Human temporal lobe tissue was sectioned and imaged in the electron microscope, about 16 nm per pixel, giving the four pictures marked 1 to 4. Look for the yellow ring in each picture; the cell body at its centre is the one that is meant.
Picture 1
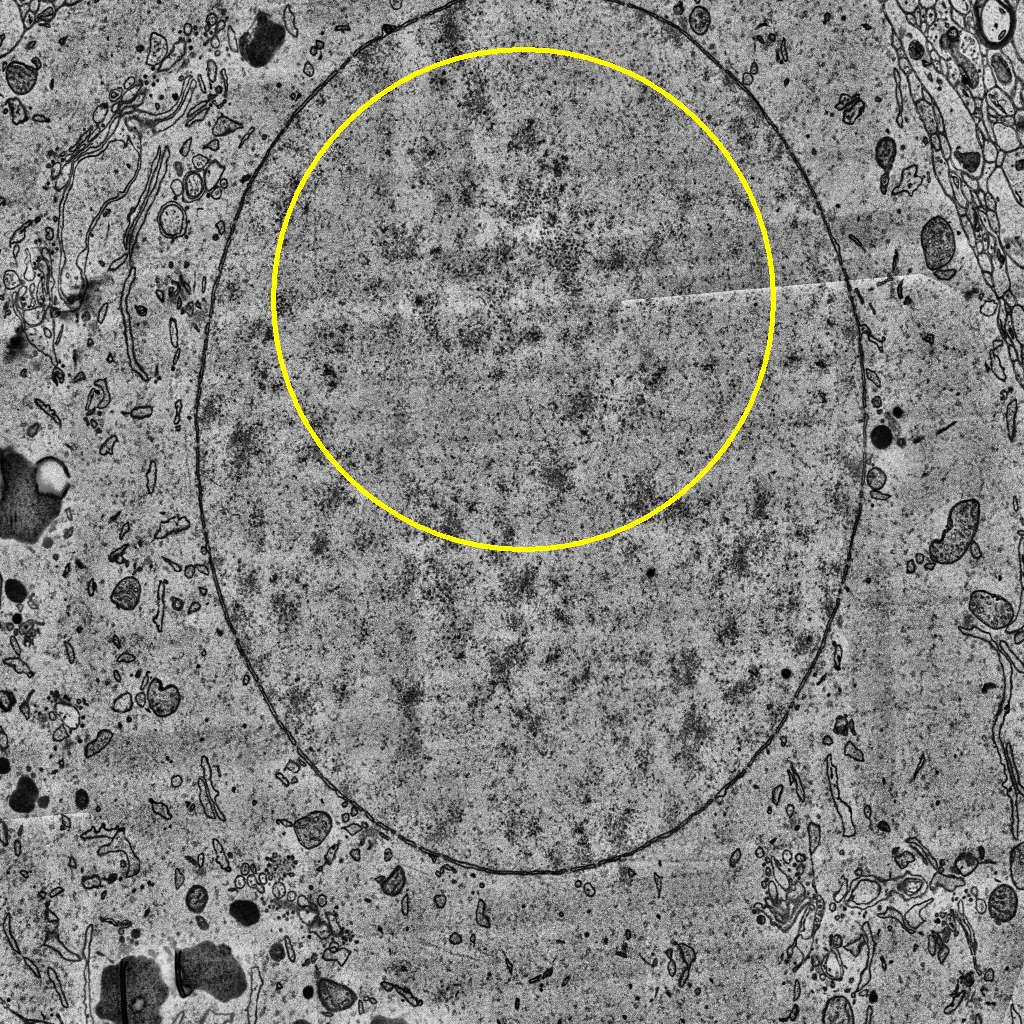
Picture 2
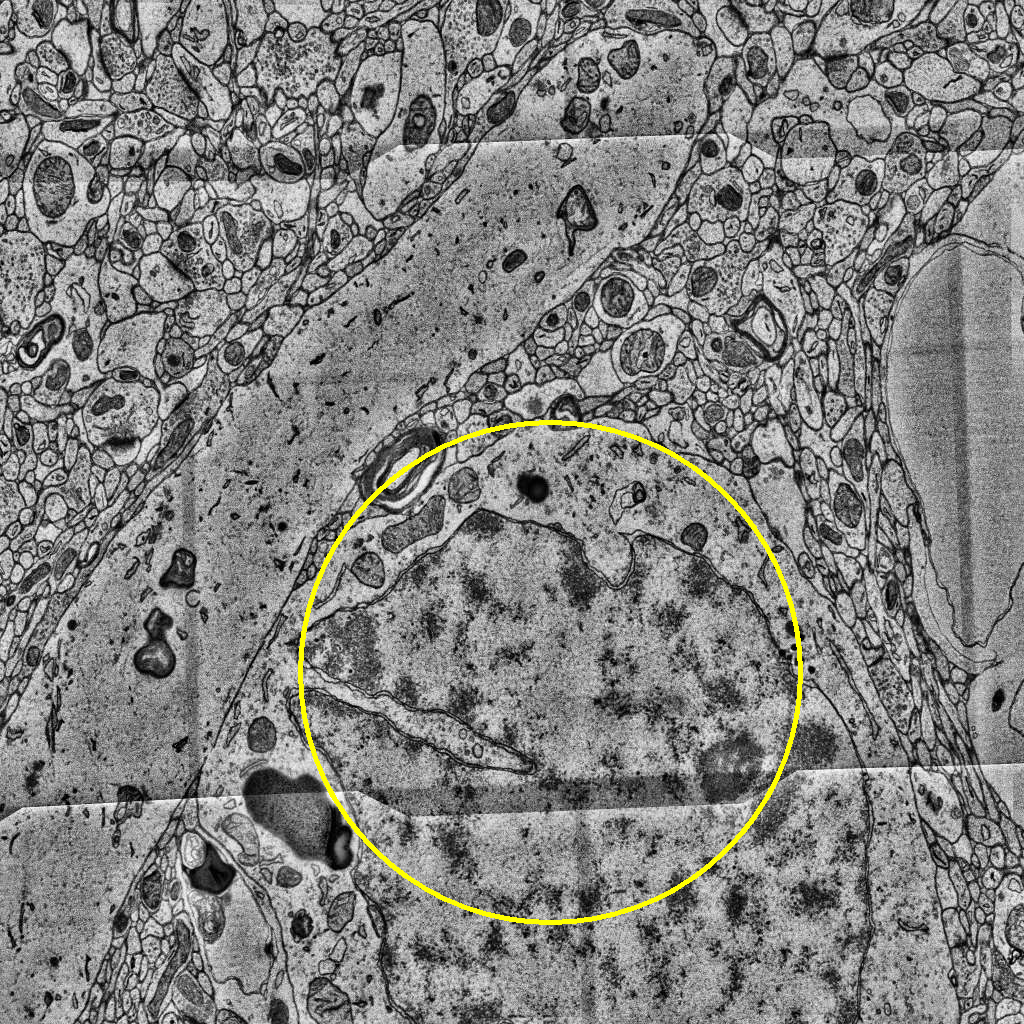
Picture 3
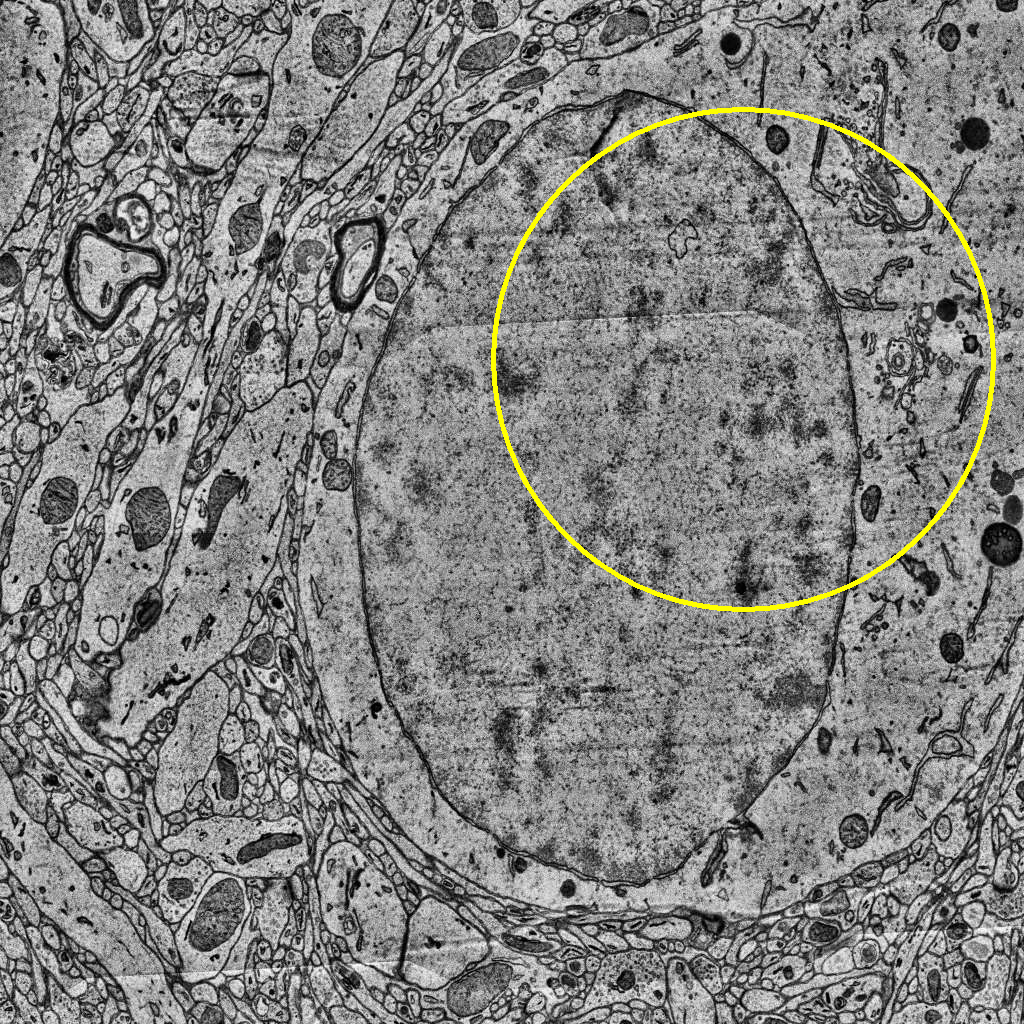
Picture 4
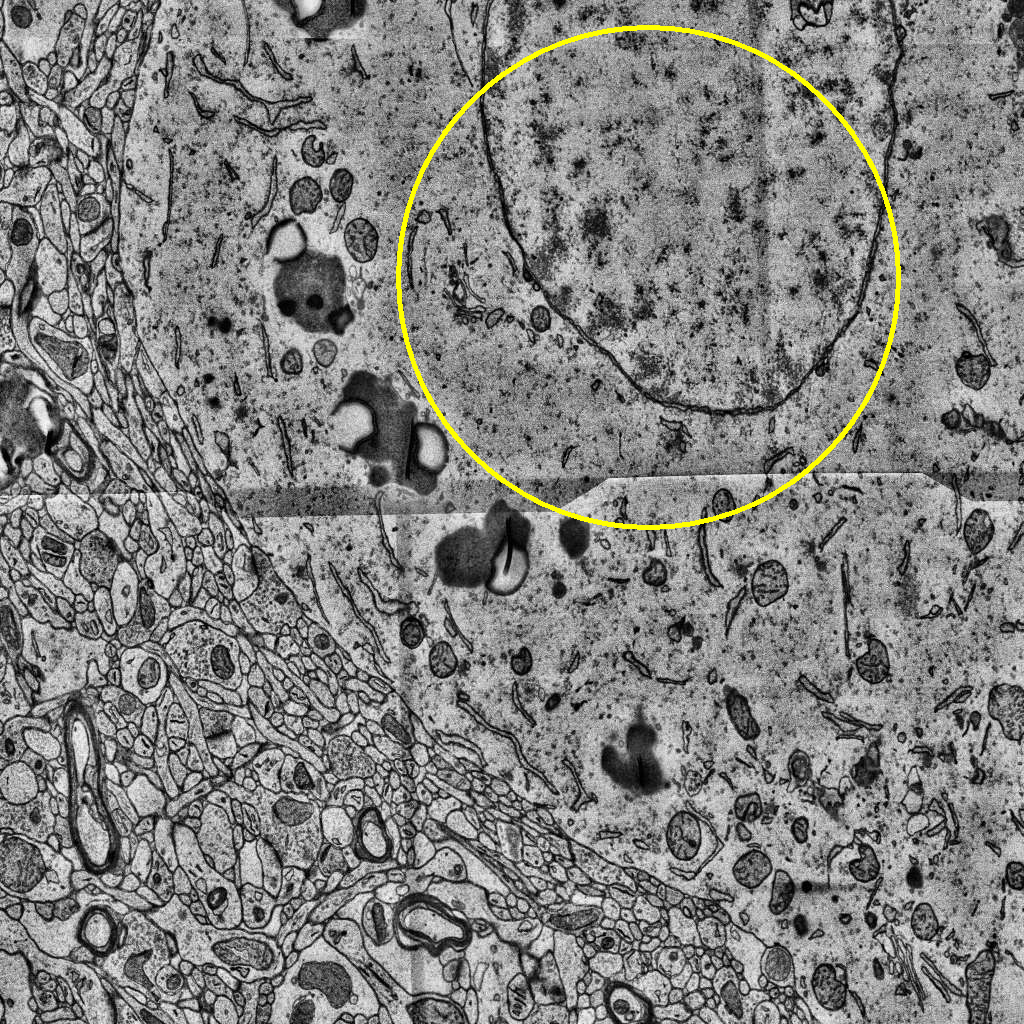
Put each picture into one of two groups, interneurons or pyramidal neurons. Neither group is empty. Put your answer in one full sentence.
Picture 2 shows an interneuron; pictures 1, 3 and 4 show pyramidal neurons.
